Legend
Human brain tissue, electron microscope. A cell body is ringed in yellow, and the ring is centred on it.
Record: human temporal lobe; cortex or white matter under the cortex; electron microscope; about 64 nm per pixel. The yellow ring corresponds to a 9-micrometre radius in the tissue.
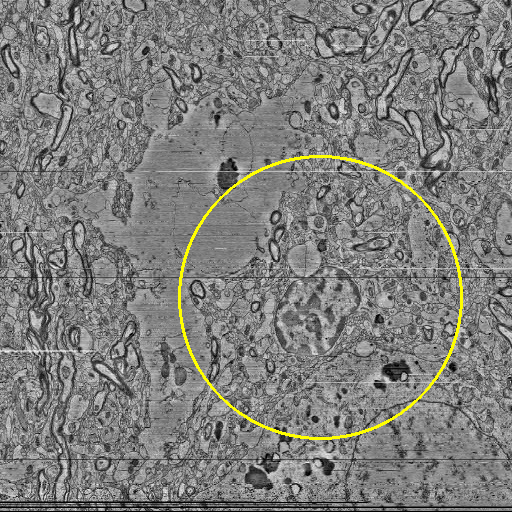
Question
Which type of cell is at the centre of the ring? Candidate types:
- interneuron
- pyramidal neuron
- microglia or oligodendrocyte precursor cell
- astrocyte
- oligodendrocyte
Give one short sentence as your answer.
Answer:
The yellow ring is centred here on a microglial cell or oligodendrocyte precursor cell.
